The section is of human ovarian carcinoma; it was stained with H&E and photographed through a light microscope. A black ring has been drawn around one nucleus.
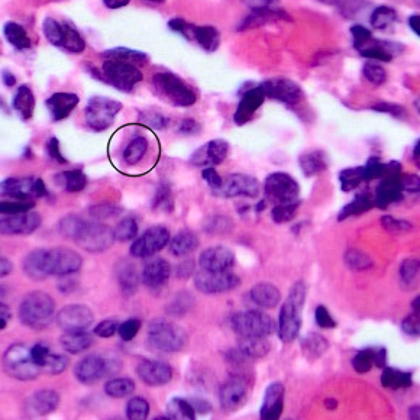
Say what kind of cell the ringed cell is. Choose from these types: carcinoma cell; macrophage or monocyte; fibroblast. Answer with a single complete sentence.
In this preparation, the ringed cell is a macrophage or monocyte.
